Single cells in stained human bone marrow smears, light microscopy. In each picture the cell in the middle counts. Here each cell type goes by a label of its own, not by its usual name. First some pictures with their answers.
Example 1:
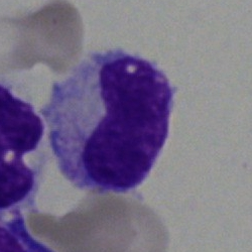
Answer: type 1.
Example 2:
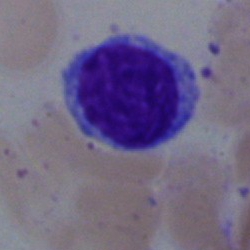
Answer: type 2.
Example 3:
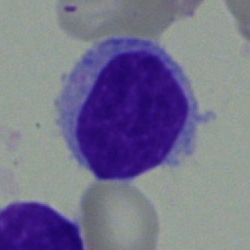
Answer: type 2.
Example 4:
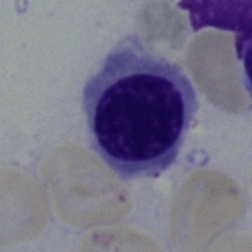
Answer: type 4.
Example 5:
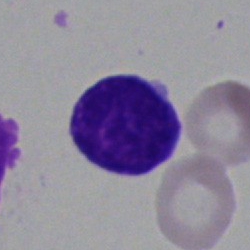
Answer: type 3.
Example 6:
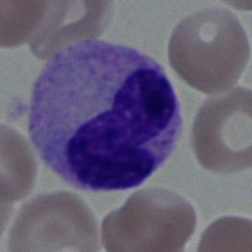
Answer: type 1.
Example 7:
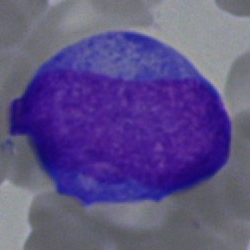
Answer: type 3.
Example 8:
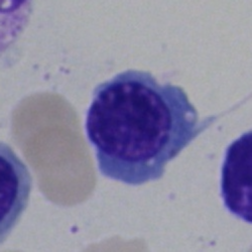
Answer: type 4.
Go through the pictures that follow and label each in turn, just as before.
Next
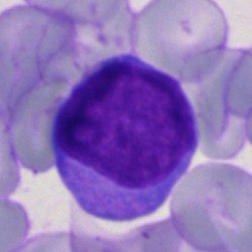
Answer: type 3.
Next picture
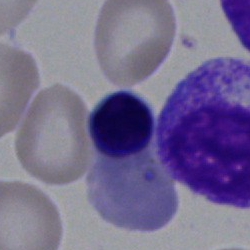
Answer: type 4.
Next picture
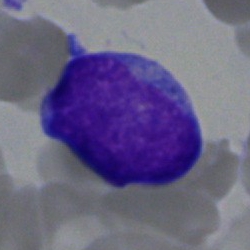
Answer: type 3.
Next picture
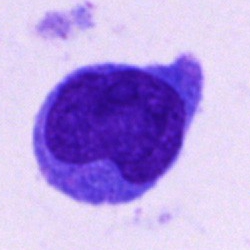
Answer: type 3.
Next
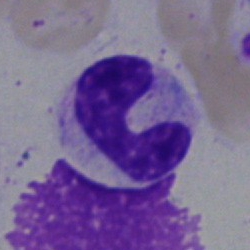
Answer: type 1.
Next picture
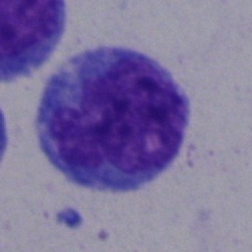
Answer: type 3.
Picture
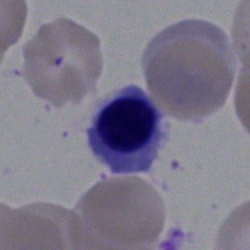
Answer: type 4.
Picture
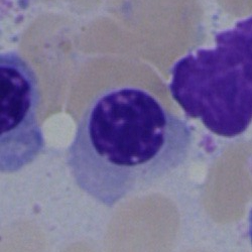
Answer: type 4.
